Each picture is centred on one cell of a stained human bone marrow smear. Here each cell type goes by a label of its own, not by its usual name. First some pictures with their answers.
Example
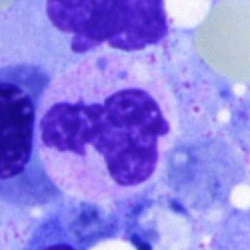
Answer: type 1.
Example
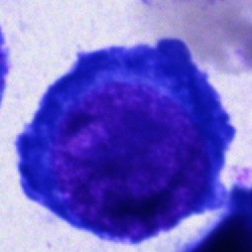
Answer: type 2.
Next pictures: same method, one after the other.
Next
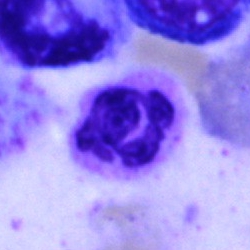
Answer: type 1.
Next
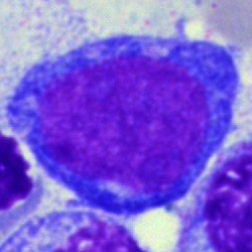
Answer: type 2.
